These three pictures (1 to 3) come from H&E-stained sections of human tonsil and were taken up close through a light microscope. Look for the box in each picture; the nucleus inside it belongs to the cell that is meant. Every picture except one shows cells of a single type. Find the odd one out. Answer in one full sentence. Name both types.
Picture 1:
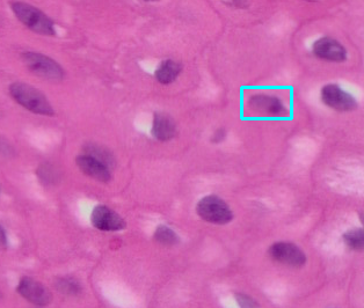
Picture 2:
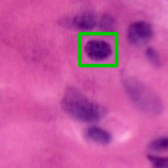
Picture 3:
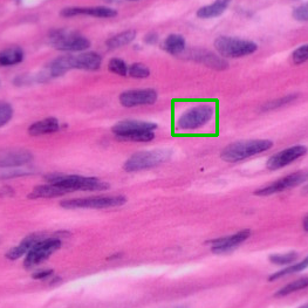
Picture 1 is the odd one out: it shows a squamous epithelial cell, while the others show mast cells.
